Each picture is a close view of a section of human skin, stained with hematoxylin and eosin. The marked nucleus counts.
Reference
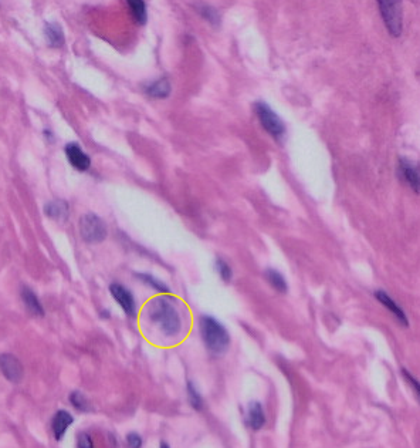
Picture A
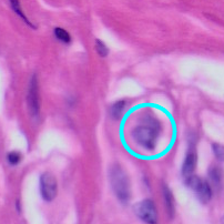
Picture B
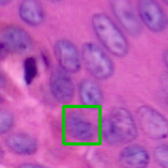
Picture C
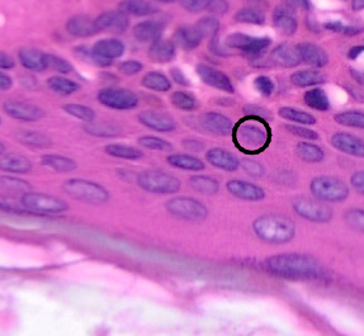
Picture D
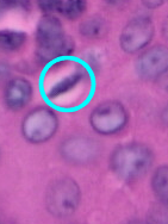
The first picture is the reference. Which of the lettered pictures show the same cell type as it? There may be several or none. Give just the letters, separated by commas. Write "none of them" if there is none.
A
